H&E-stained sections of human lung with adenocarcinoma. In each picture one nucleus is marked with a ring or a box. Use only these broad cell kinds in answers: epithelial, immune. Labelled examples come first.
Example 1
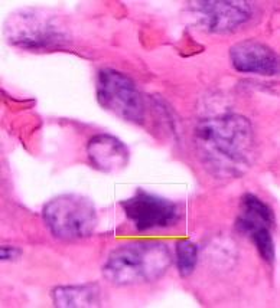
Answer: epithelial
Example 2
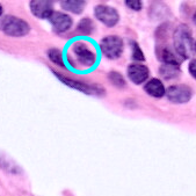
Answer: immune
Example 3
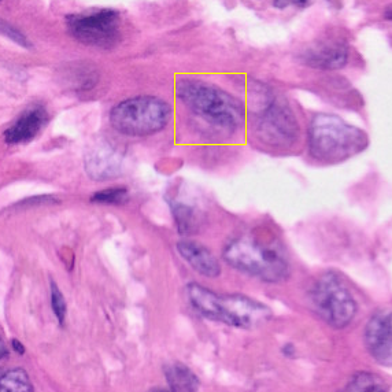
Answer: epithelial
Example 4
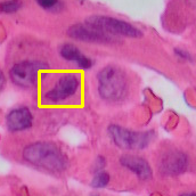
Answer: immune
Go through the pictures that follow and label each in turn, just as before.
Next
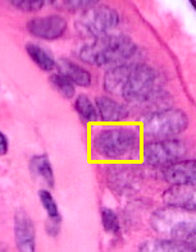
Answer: epithelial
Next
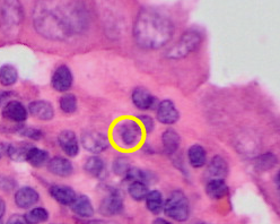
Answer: immune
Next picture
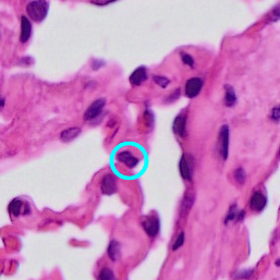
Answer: epithelial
